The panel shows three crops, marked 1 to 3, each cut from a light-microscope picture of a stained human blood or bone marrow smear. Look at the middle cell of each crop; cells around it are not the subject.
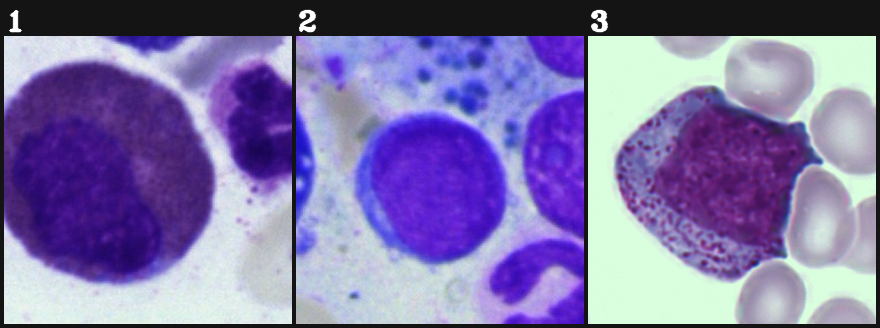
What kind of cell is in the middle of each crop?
1: eosinophil
2: blast
3: promyelocyte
